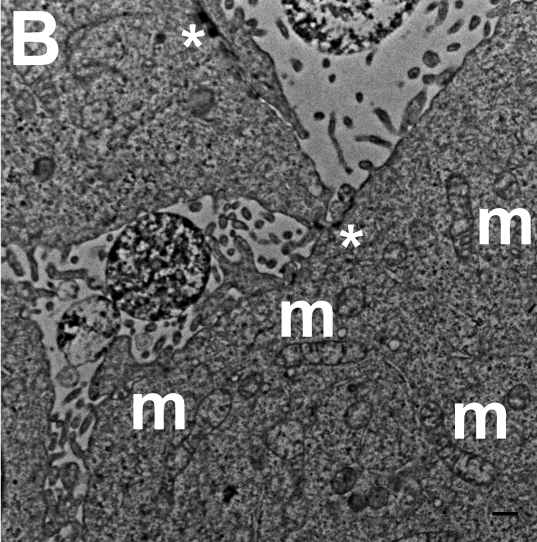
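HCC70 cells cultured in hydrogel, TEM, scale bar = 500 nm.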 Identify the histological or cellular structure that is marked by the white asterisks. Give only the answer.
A: Intercellular junctions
